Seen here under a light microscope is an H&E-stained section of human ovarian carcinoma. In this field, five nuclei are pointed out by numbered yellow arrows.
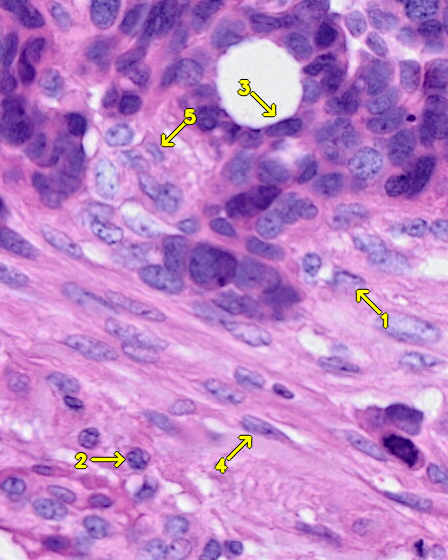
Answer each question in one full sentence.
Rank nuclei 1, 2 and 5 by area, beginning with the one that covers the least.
Smallest first, the nuclei run 5, 2, 1.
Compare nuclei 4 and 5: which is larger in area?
Nucleus 4 covers more area, about 2 times as much as nucleus 5.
